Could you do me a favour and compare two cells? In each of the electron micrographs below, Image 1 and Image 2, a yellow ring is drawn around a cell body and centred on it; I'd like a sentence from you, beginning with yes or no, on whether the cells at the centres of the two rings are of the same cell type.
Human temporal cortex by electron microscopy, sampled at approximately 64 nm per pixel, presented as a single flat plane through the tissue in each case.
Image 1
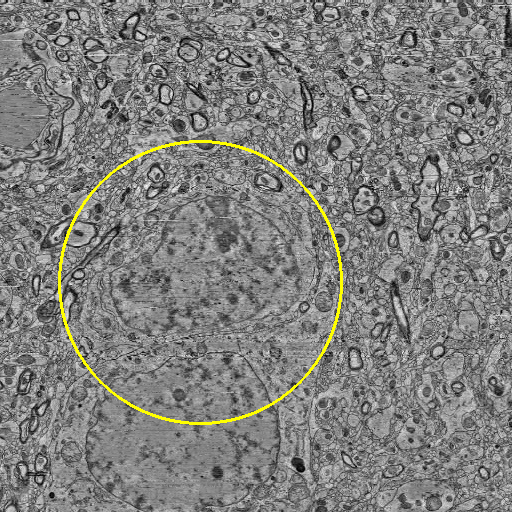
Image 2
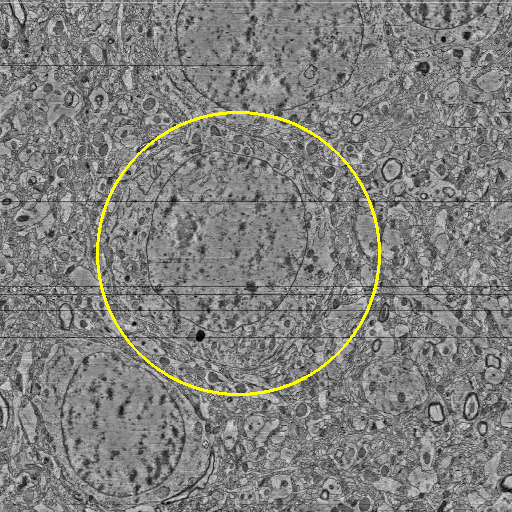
No, the two cells are of two cell types.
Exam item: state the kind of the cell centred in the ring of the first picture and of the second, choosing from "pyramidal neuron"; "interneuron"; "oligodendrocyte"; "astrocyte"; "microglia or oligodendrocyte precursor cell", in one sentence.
The first picture shows an interneuron at the ring centre and the second shows a pyramidal neuron.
